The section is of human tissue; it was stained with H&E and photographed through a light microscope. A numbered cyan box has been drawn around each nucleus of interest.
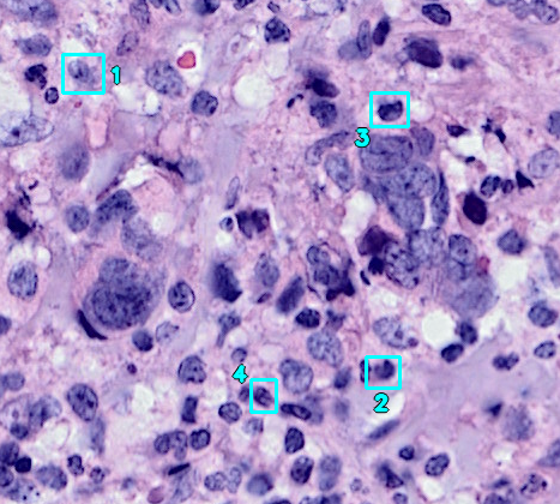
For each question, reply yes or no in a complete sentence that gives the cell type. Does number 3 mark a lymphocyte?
Yes, the marked cell with number 3 is a lymphocyte.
